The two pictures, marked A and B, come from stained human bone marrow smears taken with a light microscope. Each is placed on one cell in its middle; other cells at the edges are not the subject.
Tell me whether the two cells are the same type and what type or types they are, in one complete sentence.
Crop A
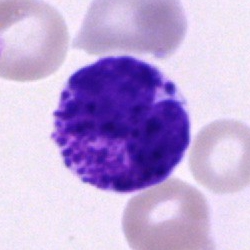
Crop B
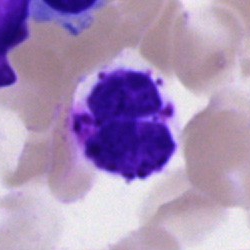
Yes, both crops in this set show basophils.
